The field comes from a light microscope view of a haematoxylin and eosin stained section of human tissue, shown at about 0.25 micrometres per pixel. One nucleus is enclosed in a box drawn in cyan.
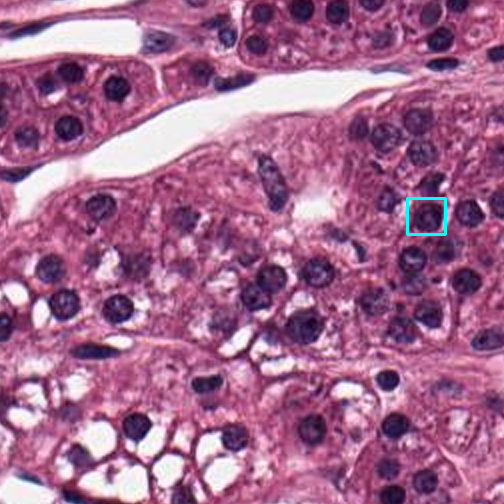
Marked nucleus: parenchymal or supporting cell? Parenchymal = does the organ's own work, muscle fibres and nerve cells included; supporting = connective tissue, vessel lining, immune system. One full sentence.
A parenchymal cell, namely an adrenal cortical cell, is the owner of the marked nucleus.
